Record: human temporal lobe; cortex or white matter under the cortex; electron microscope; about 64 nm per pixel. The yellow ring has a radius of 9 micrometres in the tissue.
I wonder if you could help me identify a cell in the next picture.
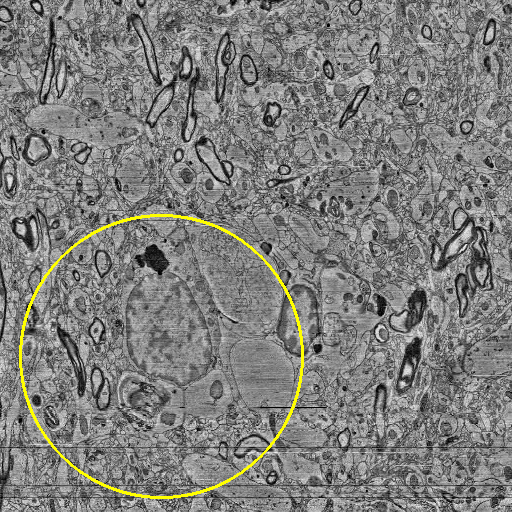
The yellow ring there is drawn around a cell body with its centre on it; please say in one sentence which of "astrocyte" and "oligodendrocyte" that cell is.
The yellow ring is centred on an oligodendrocyte.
